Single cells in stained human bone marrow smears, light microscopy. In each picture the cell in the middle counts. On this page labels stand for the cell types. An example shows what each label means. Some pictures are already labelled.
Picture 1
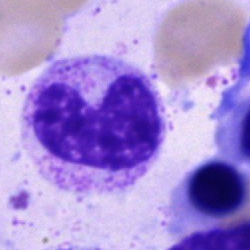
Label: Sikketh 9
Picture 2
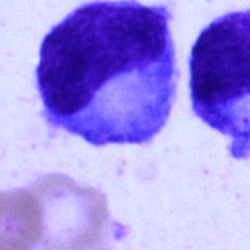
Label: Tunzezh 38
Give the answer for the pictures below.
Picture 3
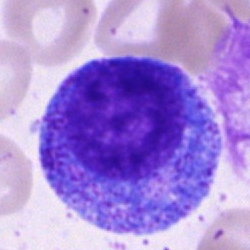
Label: Tunzezh 38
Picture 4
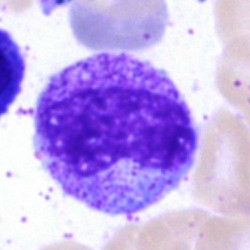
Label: Sikketh 9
